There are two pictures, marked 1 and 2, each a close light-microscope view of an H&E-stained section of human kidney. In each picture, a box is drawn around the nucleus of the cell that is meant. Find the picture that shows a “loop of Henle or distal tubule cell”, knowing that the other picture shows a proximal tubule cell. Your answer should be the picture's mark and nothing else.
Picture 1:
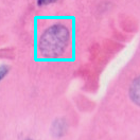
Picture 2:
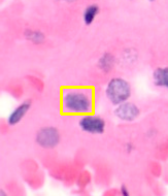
2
